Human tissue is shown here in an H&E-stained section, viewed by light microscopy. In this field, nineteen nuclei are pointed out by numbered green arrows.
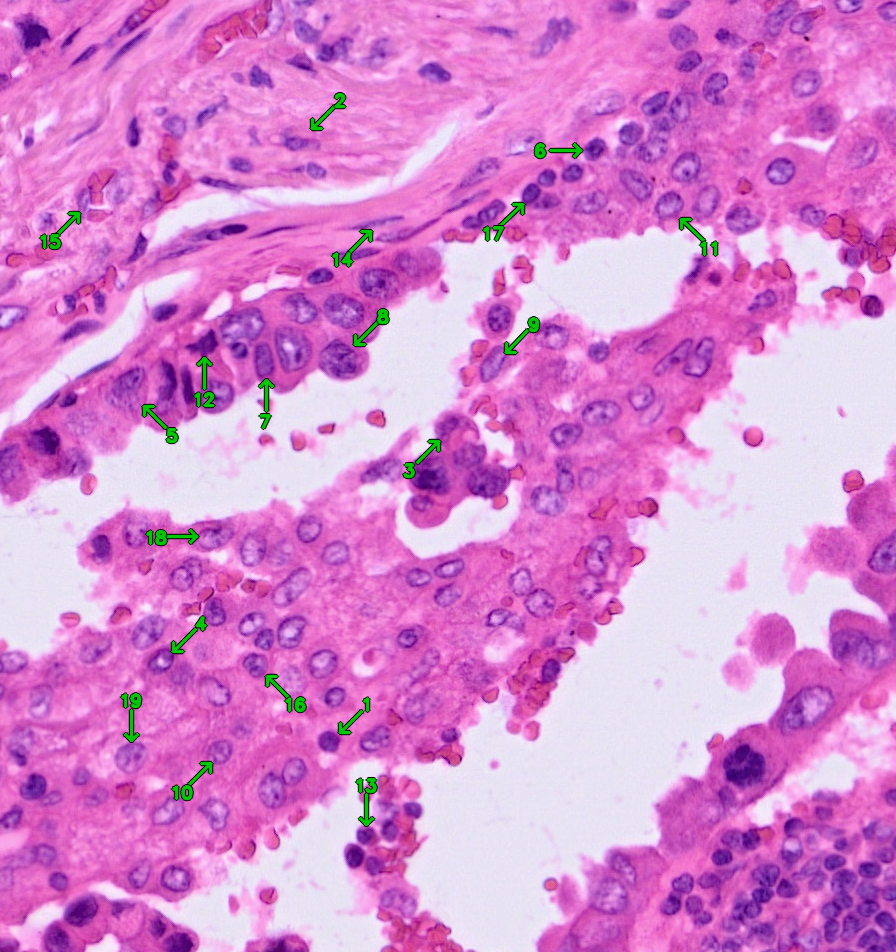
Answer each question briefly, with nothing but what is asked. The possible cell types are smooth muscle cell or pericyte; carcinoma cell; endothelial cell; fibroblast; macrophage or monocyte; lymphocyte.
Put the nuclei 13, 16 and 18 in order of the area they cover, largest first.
18, 16, 13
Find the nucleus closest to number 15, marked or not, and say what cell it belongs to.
endothelial cell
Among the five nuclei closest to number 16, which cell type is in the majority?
macrophage or monocyte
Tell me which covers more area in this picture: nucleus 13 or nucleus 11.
11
